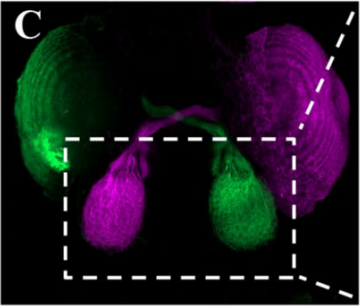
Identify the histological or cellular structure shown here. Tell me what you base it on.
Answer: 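Optic nerve projection. Each labelled eye sends a fibre bundle across the midline to a labelled target field on the opposite side. The green bundle runs from the green eye on the left to the green oval field on the right, the magenta one the reverse way. The target fields are oval, densely filled with fine fibres.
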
